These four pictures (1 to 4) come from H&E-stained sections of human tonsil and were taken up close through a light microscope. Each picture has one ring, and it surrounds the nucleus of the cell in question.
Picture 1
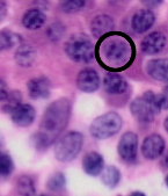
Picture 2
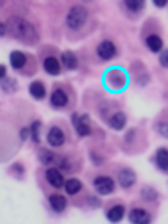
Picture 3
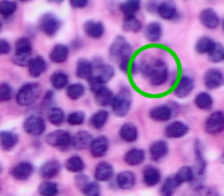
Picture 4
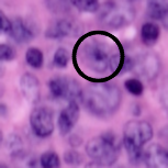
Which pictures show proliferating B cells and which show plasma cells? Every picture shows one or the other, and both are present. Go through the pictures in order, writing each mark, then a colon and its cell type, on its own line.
1: plasma cell
2: plasma cell
3: proliferating B cell
4: proliferating B cell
